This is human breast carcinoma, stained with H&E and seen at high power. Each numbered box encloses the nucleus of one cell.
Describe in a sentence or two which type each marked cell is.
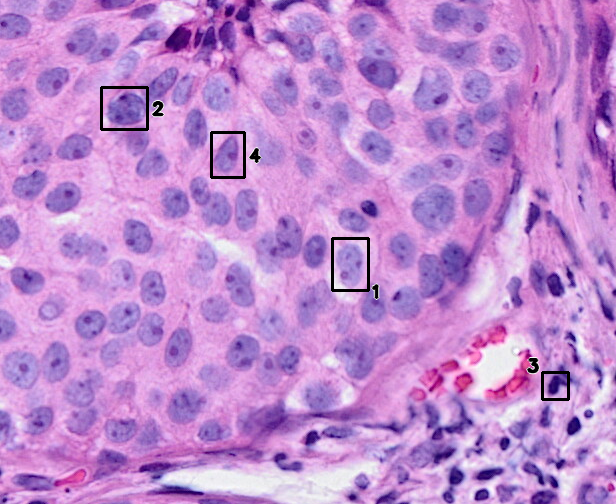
Cell 1 is a carcinoma cell, cell 2 is a carcinoma cell, cell 3 is a lymphocyte and cell 4 is a carcinoma cell.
